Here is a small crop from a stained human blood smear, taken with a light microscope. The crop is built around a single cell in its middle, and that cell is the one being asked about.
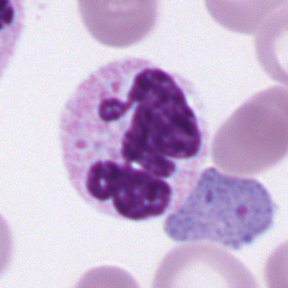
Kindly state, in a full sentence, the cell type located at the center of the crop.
The crop centres on a single cell, and that cell is a segmented neutrophil.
